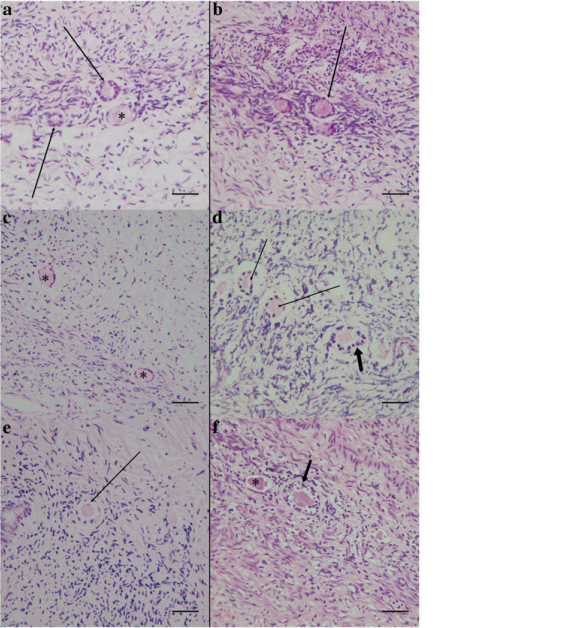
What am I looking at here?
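Six views of ovarian cortex show dense stroma of spindle-shaped cells with elongated purple nuclei, packed in swirling bundles within pale pink matrix. Scattered among them lie small round follicles with pink central oocytes, some ringed by a single layer of flattened or cuboidal cells, and a few larger ones with more cells around the oocyte.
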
